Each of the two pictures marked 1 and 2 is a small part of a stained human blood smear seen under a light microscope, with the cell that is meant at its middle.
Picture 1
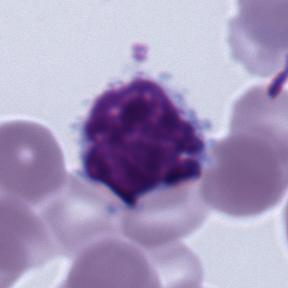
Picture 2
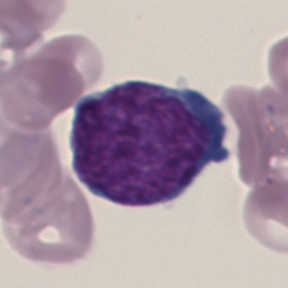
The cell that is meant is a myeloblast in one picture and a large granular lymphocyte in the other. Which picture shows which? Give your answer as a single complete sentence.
It is picture 1 that shows a large granular lymphocyte, and picture 2 that shows a myeloblast.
